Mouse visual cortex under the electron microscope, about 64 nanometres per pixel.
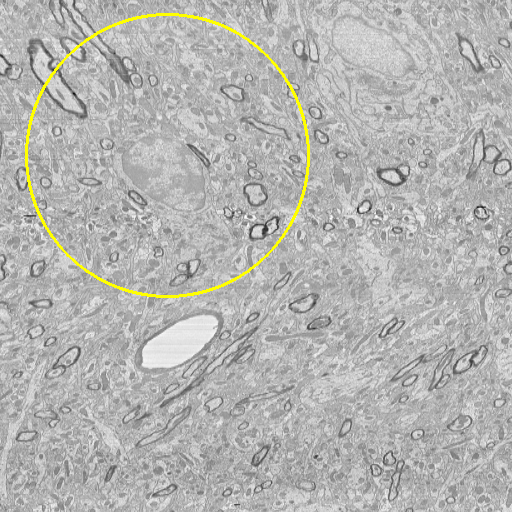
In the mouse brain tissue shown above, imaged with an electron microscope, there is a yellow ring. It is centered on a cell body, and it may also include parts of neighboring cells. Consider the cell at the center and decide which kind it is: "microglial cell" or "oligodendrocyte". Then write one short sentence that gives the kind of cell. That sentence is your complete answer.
This centered cell body is that of an oligodendrocyte.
